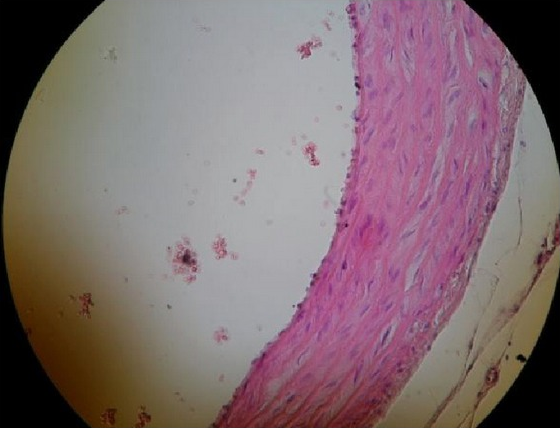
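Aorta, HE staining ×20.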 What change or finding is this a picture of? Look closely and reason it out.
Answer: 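Small round dark-purple cells line up along the luminal surface of the vessel wall. These cells sit on the inner edge facing the empty lumen.
Hence: Leukocyte margination.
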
